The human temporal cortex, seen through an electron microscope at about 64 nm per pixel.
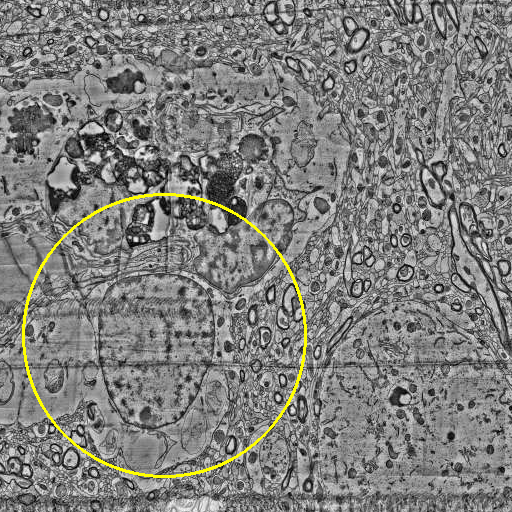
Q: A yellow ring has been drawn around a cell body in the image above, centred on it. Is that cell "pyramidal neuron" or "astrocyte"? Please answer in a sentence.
The ring surrounds the cell body of an astrocyte.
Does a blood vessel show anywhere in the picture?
Yes.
